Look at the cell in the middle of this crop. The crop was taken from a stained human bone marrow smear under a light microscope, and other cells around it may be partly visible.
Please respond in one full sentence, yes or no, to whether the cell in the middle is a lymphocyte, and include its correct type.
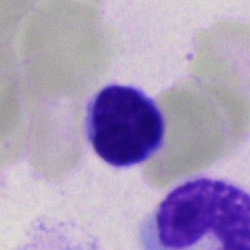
Yes, in the middle of the crop is a lymphocyte.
